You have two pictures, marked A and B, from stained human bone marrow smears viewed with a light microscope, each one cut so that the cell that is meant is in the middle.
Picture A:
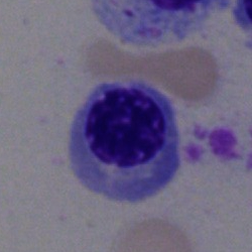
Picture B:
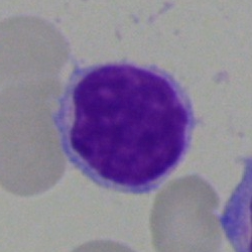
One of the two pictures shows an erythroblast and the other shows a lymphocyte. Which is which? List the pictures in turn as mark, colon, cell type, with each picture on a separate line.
A: erythroblast
B: lymphocyte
